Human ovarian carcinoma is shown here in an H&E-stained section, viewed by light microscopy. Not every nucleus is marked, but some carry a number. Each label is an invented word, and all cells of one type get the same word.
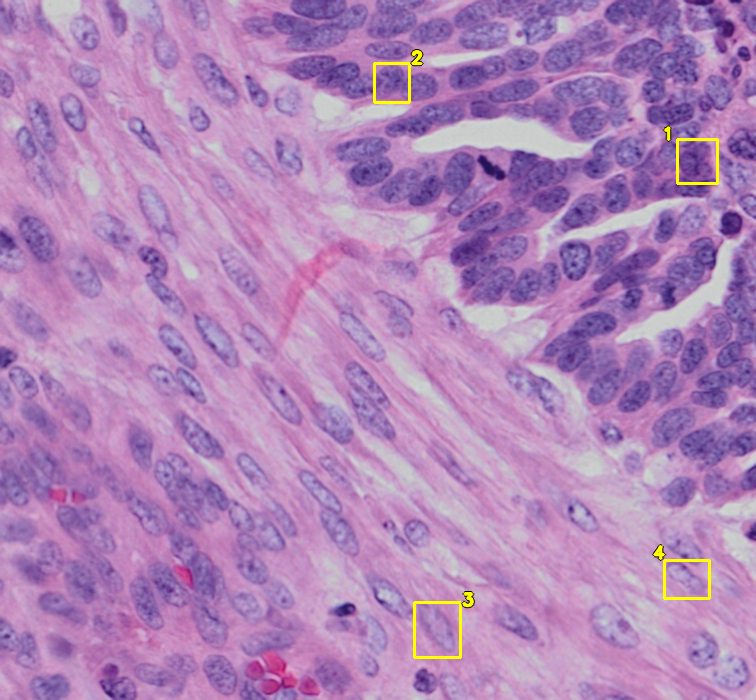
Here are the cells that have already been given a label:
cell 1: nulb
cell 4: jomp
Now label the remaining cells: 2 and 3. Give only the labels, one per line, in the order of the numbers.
nulb
jomp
